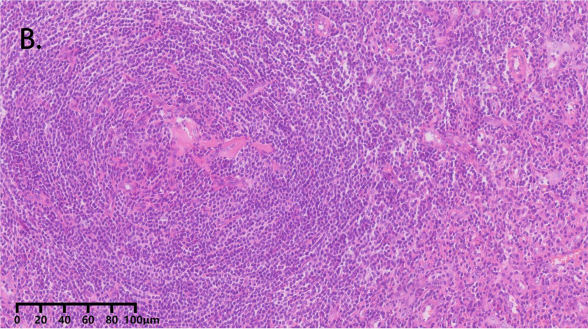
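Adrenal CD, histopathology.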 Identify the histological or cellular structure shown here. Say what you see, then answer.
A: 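A broad band of small dark lymphocytes in concentric layers surrounds a small central pale area with a pink vessel. That points to this answer: Mantle zones.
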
